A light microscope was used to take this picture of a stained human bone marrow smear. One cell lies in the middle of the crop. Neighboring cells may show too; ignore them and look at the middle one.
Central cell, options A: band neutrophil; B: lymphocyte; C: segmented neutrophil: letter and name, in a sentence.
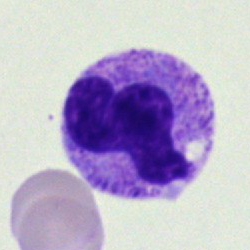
What sits in the middle of the crop is a band neutrophil, and option A is correct.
